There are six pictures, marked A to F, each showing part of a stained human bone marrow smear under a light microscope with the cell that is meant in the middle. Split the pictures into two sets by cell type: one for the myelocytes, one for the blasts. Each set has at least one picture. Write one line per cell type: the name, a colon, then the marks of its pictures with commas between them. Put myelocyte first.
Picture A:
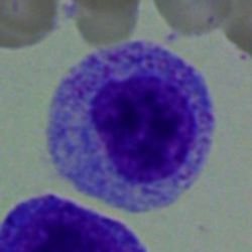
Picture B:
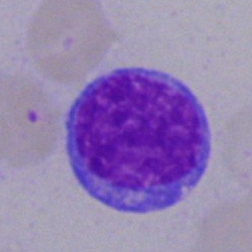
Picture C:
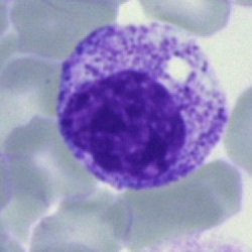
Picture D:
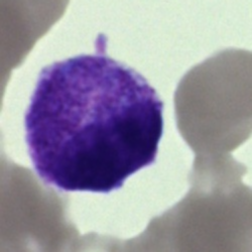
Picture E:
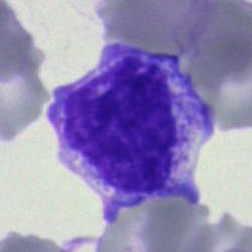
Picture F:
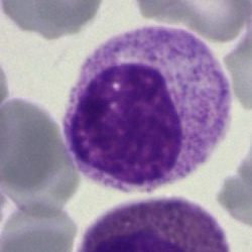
myelocyte: A, C, E, F
blast: B, D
